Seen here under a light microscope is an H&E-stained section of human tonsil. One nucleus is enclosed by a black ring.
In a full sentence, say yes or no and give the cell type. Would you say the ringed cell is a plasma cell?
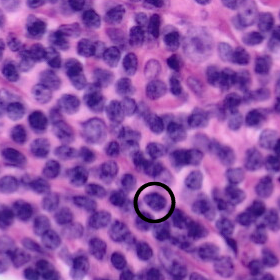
No, rather than a plasma cell, the ringed cell is a small lymphocyte.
